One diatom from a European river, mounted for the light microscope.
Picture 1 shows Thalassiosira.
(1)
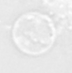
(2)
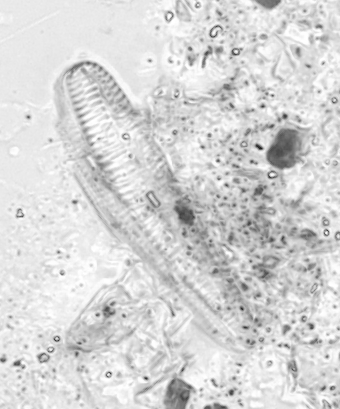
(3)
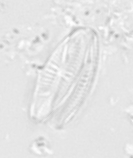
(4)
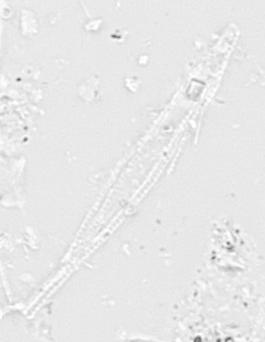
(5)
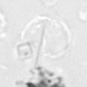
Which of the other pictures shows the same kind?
Picture 5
